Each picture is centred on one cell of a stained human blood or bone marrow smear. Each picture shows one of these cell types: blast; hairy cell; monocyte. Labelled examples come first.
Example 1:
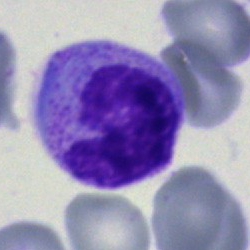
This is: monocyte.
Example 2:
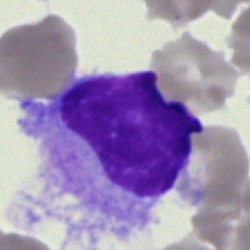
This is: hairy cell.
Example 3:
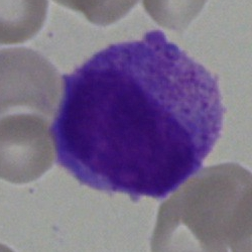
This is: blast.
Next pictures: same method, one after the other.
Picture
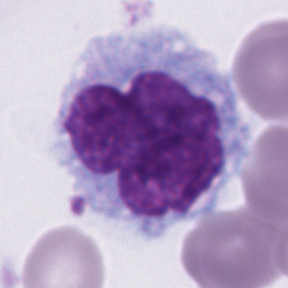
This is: monocyte.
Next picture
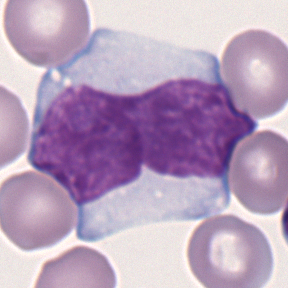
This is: blast.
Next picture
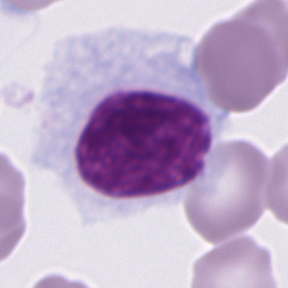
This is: hairy cell.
